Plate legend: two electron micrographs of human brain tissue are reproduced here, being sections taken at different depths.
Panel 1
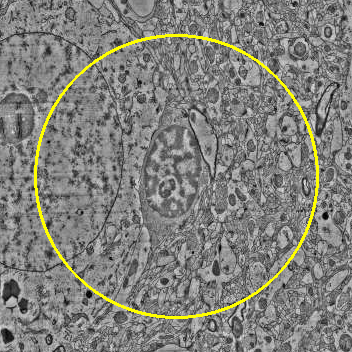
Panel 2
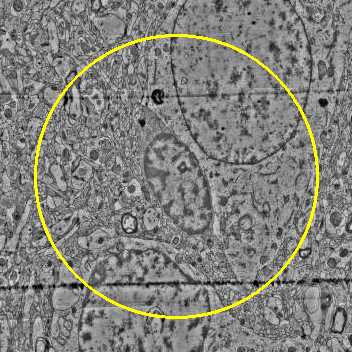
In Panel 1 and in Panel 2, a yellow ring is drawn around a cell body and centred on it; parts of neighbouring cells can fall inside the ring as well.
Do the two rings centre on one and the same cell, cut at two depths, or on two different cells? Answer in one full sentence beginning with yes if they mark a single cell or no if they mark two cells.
No, a different cell sits inside each of the two rings.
